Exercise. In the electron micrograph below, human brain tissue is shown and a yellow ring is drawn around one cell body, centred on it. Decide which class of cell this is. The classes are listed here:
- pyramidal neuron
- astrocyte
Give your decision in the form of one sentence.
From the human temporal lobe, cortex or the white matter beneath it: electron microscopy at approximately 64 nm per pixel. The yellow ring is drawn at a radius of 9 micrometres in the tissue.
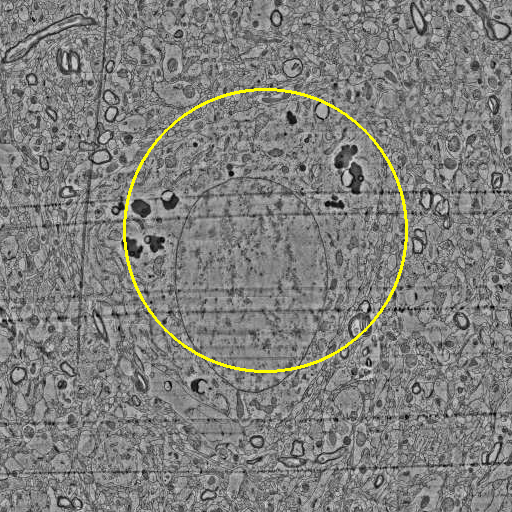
The cell body marked by the ring belongs to a pyramidal neuron.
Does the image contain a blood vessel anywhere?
No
